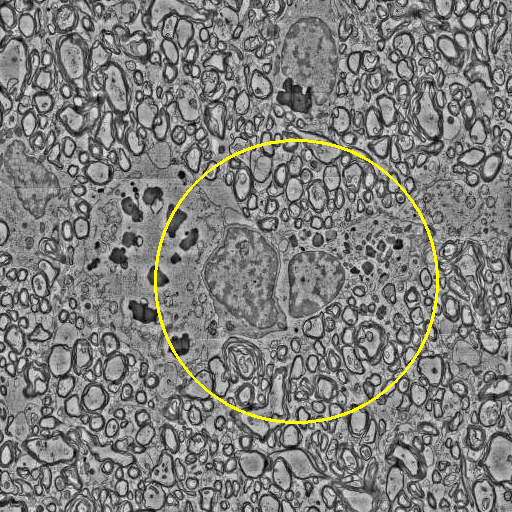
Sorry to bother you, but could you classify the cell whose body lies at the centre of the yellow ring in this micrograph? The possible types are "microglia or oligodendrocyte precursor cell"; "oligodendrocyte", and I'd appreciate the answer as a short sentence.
The ringed cell body is that of a microglial cell or oligodendrocyte precursor cell.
